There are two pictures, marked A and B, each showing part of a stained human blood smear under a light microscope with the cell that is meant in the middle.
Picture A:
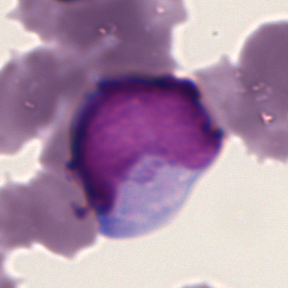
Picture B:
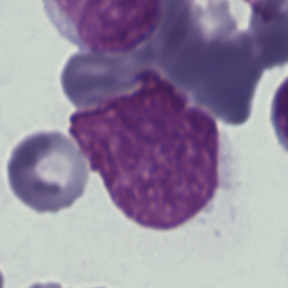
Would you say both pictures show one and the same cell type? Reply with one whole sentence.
No; the cell in picture A is a myeloblast, while the one in picture B is a smudge cell.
